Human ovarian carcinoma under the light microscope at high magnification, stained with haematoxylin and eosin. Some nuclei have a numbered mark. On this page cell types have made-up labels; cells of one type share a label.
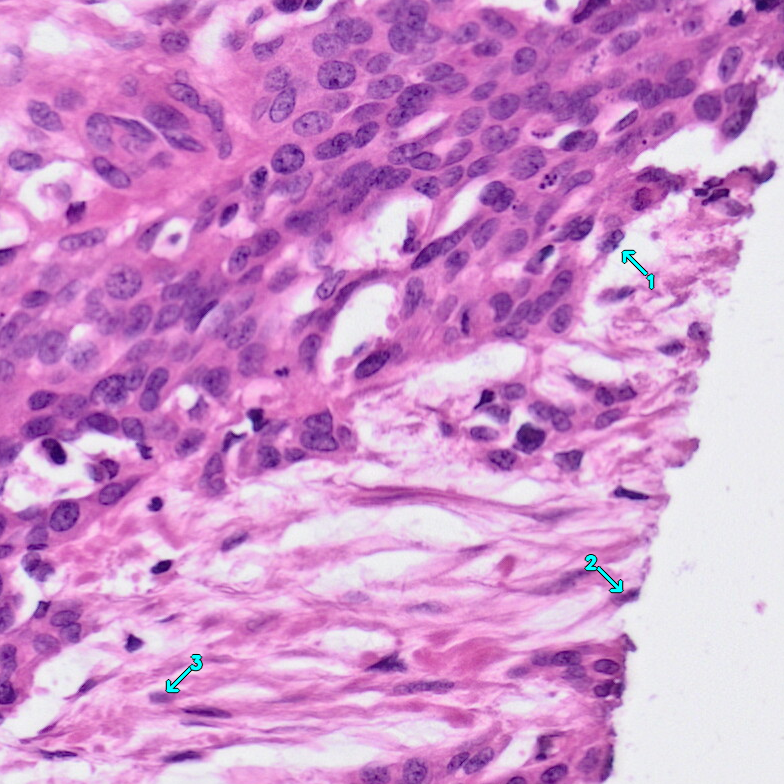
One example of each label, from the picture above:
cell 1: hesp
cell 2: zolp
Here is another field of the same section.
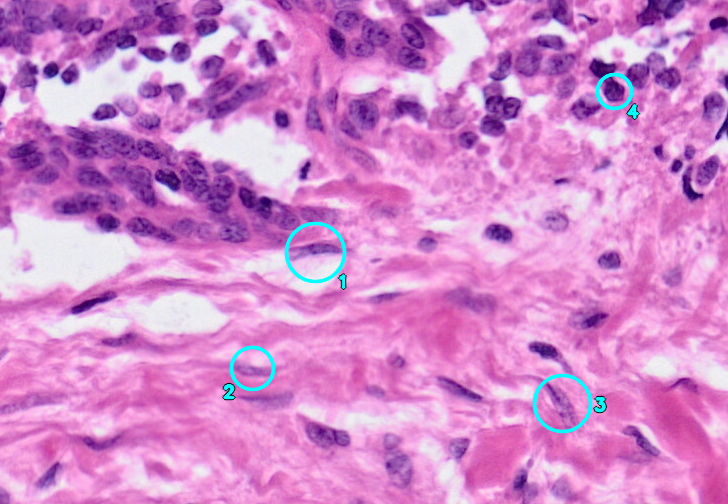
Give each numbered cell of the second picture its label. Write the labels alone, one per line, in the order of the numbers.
zolp
zolp
zolp
hesp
